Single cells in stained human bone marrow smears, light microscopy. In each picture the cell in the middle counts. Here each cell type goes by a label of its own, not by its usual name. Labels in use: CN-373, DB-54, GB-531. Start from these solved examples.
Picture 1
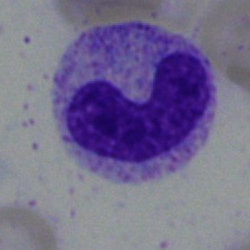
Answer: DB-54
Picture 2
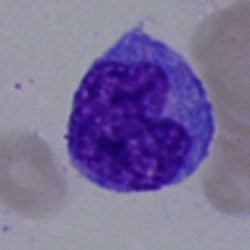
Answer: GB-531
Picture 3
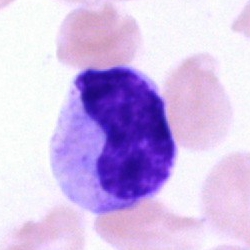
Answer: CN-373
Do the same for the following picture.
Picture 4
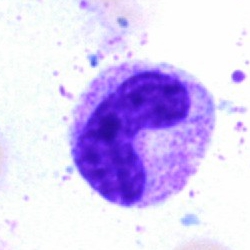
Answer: DB-54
